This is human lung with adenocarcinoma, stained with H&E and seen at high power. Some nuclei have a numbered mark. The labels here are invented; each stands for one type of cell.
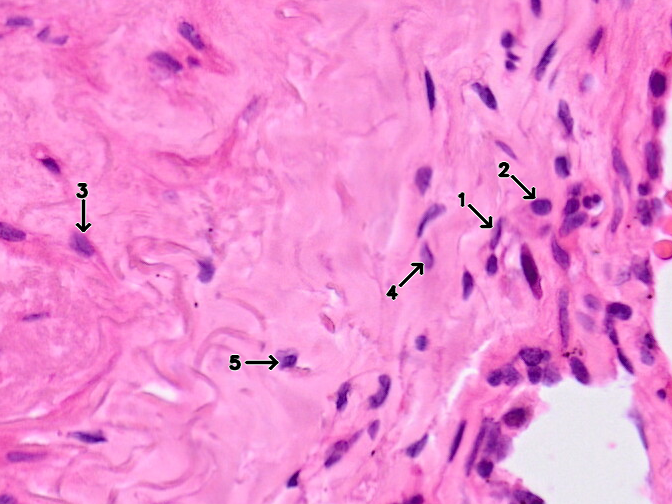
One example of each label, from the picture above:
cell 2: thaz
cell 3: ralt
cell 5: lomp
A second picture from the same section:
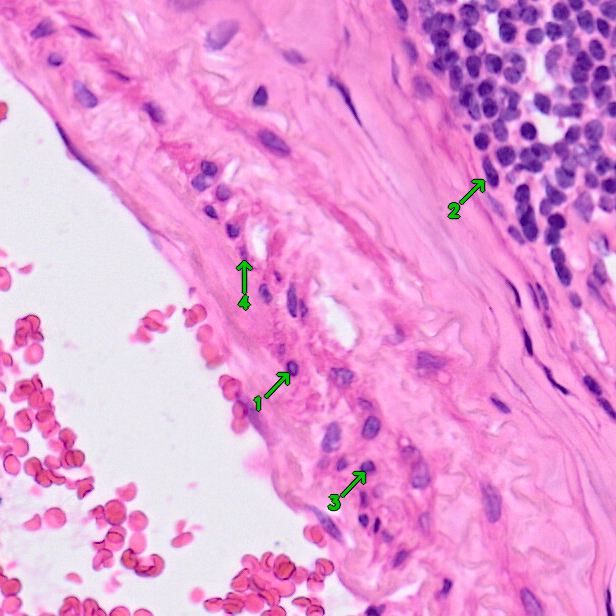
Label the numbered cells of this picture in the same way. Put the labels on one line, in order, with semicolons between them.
ralt; thaz; ralt; ralt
